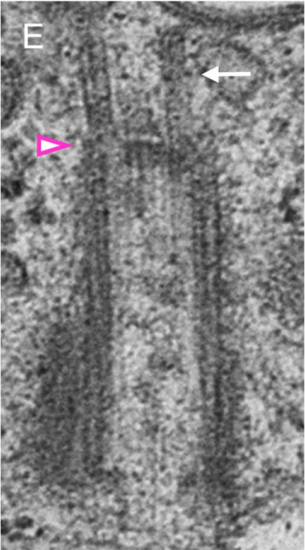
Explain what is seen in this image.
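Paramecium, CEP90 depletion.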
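This longitudinal section shows a basal body lying just under the cell surface without a cilium. Its parallel microtubule walls form an open cylinder, crossed near the top by a faint transverse plate. On one side, thin microtubule extensions continue upward beyond the top of the cylinder toward the surface membrane.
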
